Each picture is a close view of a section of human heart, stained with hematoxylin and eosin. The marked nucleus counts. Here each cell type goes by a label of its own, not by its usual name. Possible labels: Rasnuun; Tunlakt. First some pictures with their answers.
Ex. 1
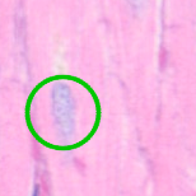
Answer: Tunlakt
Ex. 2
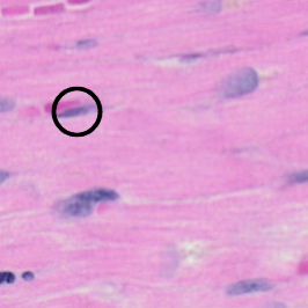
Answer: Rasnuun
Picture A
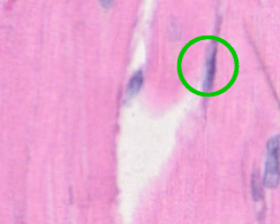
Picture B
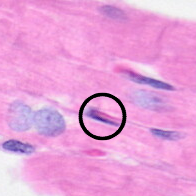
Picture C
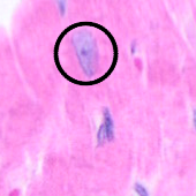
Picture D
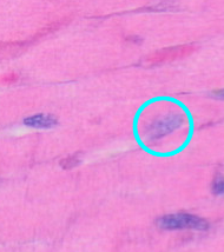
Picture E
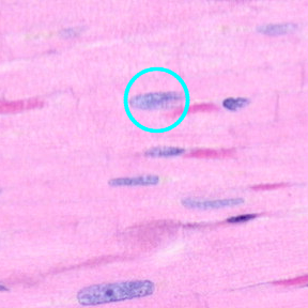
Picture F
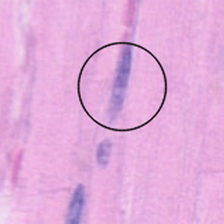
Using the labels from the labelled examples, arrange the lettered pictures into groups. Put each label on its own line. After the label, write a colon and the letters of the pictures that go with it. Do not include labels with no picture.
Rasnuun: A, B, F
Tunlakt: C, D, E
